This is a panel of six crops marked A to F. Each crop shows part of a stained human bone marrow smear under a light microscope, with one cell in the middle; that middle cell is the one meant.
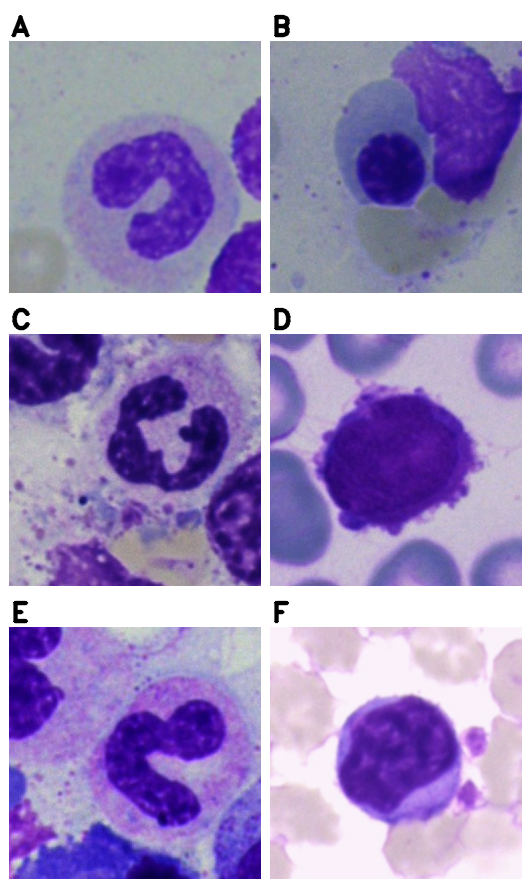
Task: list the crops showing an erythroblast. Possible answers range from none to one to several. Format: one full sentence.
No other crop besides crop B shows an erythroblast.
